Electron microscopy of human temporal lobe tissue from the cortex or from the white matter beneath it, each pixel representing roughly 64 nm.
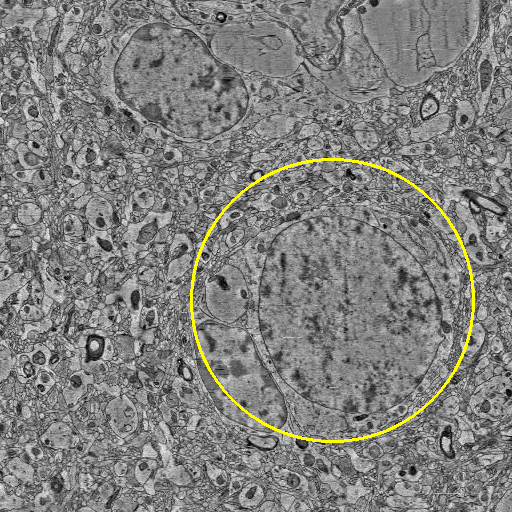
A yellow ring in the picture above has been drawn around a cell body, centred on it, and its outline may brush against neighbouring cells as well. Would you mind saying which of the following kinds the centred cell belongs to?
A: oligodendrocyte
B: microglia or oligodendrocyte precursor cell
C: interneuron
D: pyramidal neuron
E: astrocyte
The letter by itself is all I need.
D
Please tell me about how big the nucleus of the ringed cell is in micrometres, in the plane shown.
The nucleus measures about 14 by 11 micrometres in this plane.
